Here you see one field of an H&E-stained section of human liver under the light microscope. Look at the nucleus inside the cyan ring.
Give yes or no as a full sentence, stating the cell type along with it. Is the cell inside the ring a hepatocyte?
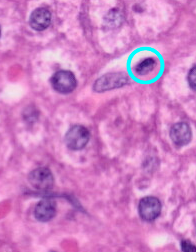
No, the cell inside the ring counts as a lymphocyte, not a hepatocyte.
